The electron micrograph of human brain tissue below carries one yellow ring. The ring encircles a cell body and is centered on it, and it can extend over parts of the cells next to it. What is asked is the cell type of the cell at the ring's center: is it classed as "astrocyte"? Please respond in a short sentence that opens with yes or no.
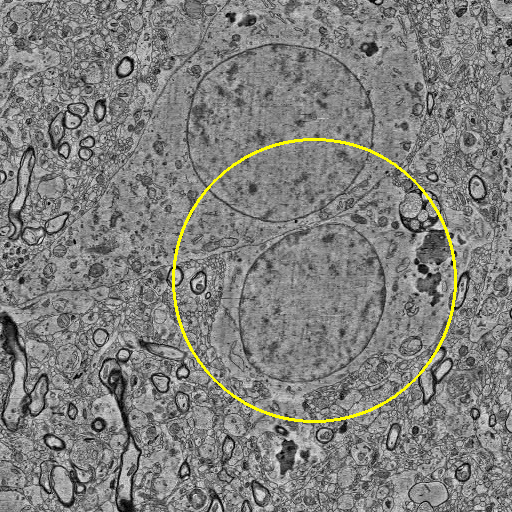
Yes, it is classed that way.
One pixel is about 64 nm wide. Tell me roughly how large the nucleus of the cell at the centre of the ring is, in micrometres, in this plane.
In this plane, roughly 12 by 10 micrometres.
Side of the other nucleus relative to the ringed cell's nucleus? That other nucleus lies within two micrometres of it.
The second nucleus lies above it.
